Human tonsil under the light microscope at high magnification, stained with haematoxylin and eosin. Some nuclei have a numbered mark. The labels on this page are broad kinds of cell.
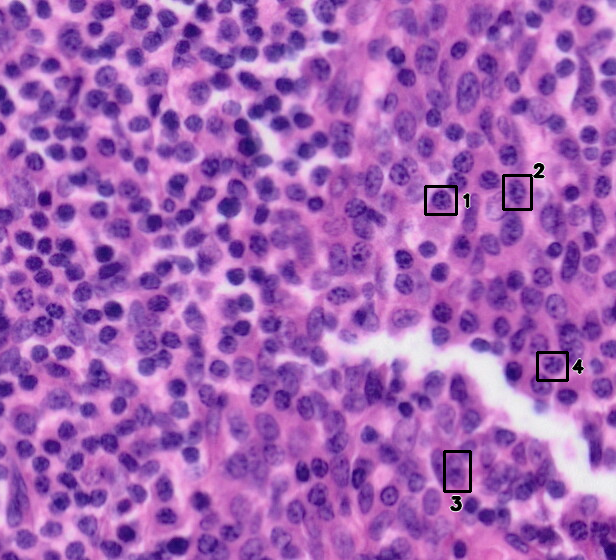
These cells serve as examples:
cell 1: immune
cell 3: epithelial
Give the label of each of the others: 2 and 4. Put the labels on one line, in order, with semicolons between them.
immune; immune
